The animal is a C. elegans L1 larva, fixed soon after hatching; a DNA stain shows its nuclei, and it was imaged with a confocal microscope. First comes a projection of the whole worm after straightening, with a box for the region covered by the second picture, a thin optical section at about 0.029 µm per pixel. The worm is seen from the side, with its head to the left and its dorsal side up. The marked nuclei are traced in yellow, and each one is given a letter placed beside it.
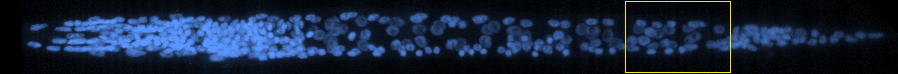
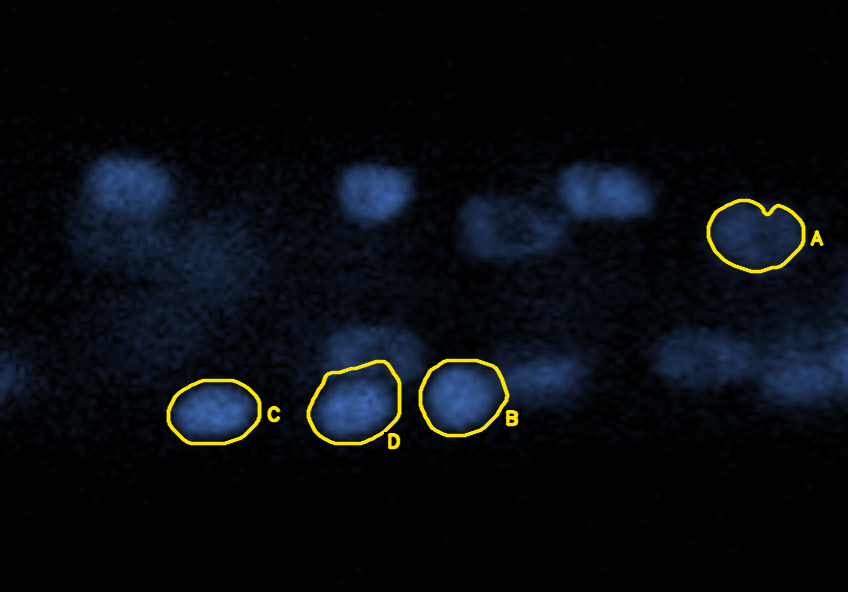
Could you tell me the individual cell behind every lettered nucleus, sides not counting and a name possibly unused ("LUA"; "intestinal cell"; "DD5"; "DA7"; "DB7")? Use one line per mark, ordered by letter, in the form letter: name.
A: intestinal cell
B: DA7
C: DD5
D: DB7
